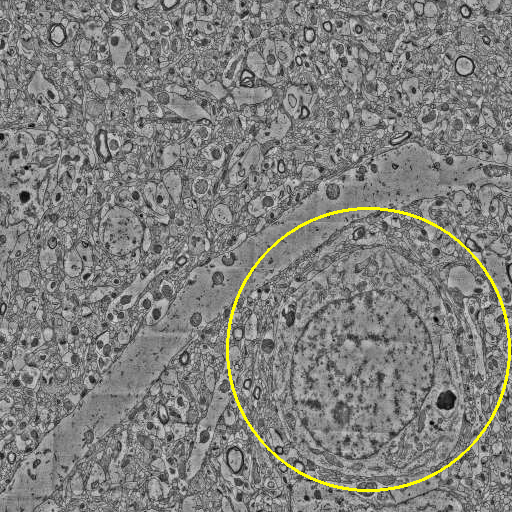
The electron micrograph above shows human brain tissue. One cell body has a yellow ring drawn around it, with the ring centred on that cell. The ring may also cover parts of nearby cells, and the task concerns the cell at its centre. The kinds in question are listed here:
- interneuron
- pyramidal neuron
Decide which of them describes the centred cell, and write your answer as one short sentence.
The centred cell is an interneuron.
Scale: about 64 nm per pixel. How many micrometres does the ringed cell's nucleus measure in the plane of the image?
In this plane, about 11 micrometres in length and 9 in width.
